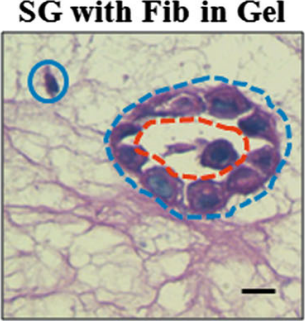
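A tubule-like structure lies within a pale, fibrous gel, formed by about ten cells with round to oval purple nuclei arranged in a single ring. The ring encloses a pale central lumen, and a lone, small, dark, elongated fibroblast lies apart in the gel at the upper left.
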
